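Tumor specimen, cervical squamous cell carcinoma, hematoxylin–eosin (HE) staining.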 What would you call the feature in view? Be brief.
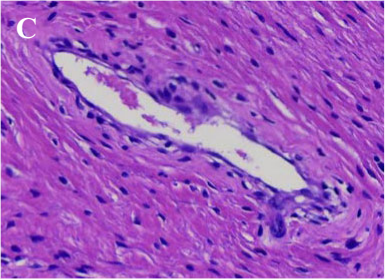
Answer: The space lined by endothelial cells.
